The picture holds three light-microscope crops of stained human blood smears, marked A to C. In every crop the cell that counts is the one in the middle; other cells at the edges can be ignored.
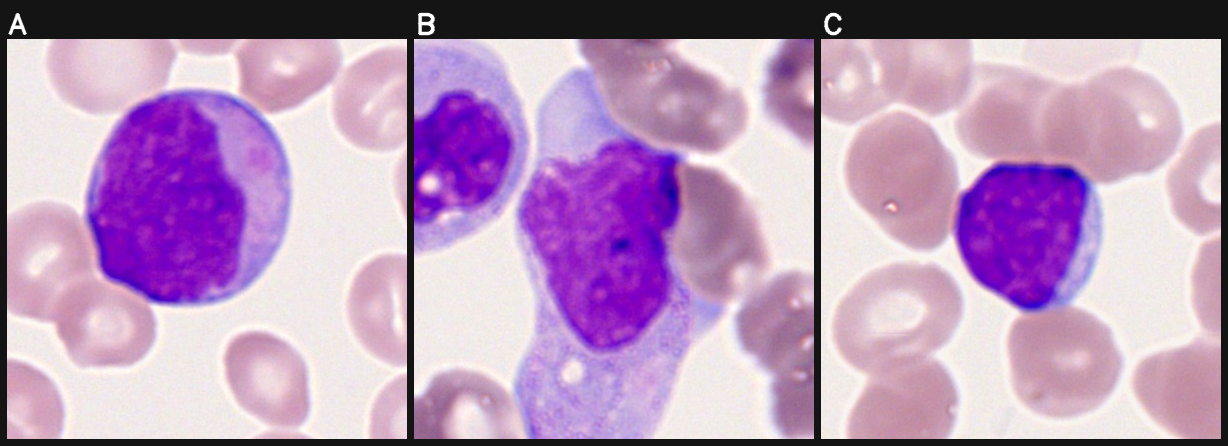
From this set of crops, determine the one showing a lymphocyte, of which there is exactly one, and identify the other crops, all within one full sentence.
At the centre of crop C lies a lymphocyte, while crop A is a myeloblast and crop B is a monocyte.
